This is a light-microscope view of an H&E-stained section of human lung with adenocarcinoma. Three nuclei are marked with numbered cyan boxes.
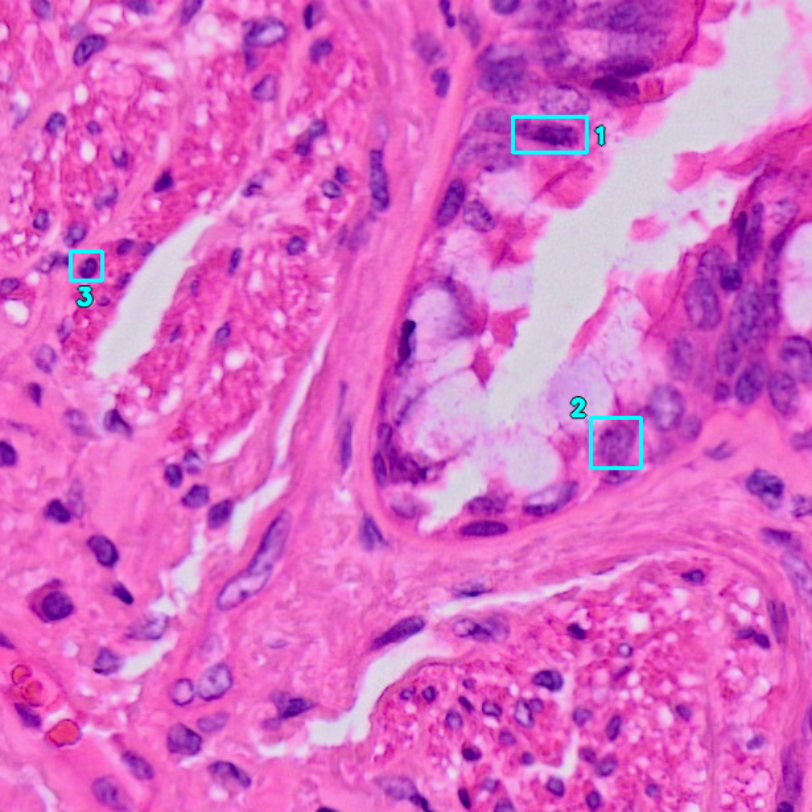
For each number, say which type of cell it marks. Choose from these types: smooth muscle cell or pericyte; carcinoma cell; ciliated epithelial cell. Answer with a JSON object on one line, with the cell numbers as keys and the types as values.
{"1": "ciliated epithelial cell", "2": "ciliated epithelial cell", "3": "smooth muscle cell or pericyte"}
